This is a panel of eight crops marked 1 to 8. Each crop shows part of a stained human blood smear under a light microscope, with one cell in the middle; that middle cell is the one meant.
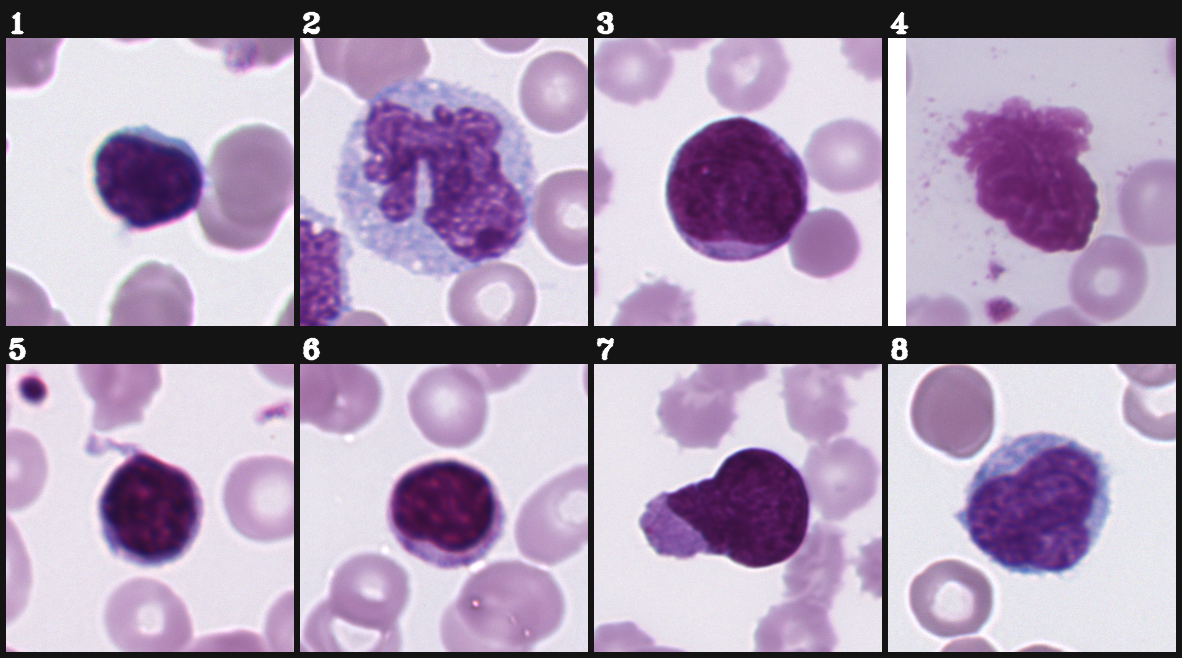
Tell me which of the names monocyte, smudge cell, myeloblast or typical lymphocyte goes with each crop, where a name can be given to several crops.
1: typical lymphocyte
2: monocyte
3: myeloblast
4: smudge cell
5: typical lymphocyte
6: typical lymphocyte
7: myeloblast
8: monocyte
